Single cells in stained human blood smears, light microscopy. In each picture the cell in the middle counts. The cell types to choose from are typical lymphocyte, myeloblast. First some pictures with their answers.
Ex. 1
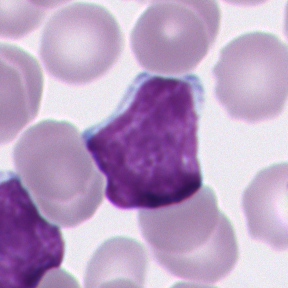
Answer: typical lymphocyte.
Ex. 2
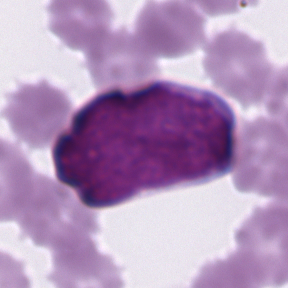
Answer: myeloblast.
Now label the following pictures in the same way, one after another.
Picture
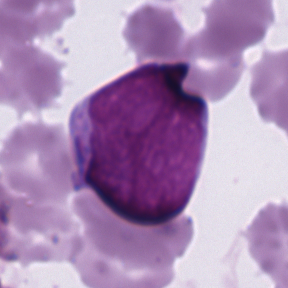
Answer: myeloblast.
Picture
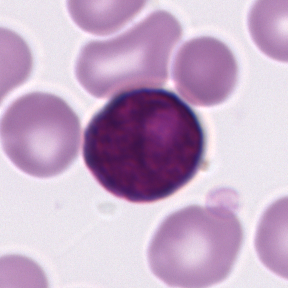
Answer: myeloblast.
